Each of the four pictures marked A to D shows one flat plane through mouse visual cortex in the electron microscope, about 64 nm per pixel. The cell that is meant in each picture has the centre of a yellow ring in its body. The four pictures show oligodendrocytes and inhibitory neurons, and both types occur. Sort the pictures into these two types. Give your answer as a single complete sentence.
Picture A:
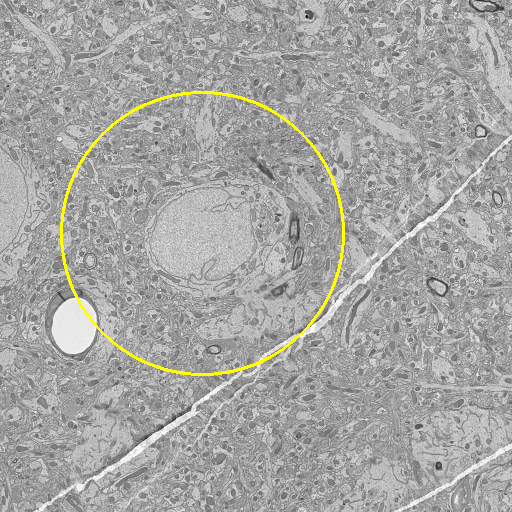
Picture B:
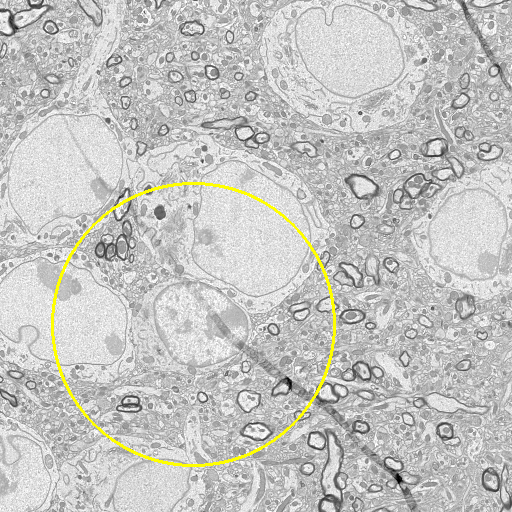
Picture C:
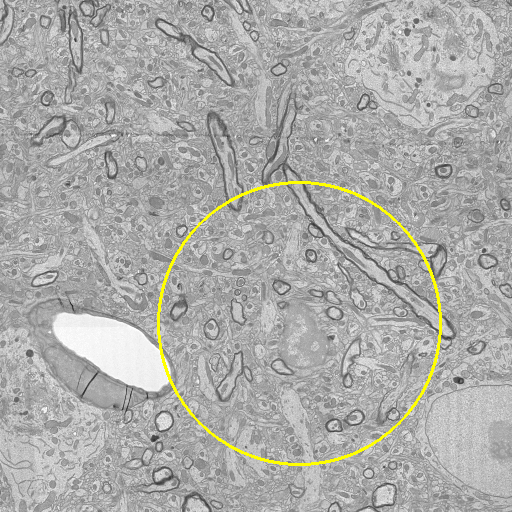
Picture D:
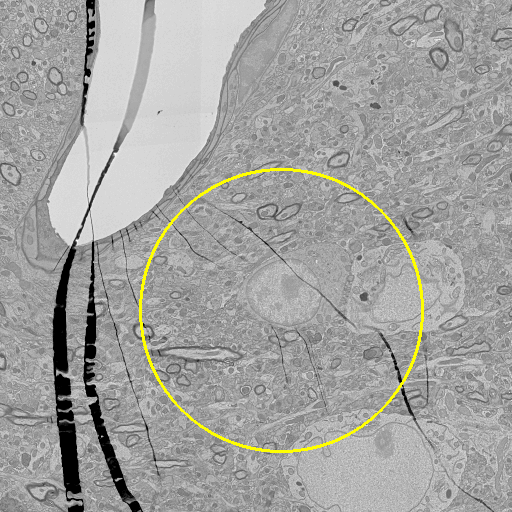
Pictures B, C and D show oligodendrocytes; picture A shows an inhibitory neuron.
